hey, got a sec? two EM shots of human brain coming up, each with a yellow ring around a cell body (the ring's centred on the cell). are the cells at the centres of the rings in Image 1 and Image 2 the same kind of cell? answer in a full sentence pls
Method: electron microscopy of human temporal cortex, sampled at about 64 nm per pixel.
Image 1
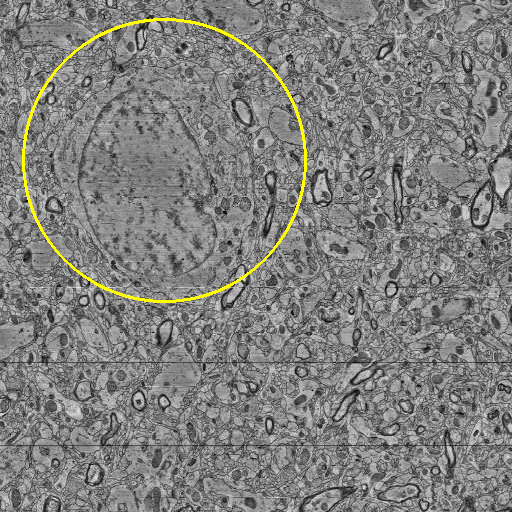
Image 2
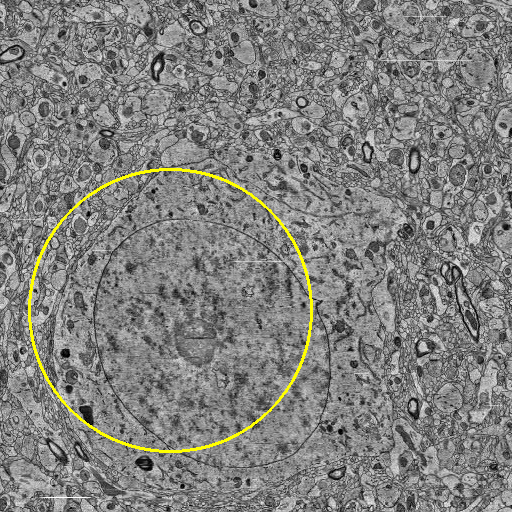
No, they are two kinds of cell.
